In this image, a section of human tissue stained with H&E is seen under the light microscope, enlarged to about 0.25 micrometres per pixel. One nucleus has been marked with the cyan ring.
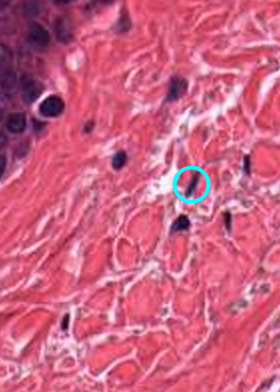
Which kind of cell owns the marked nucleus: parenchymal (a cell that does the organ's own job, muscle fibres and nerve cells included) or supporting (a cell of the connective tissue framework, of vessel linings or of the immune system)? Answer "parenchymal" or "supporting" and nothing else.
supporting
